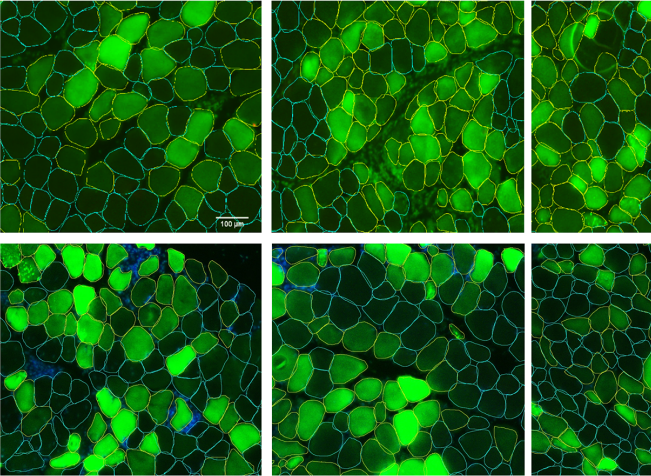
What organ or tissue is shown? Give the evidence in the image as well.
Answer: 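Closely packed polygonal profiles in cross section. Profiles of varied size separated by thin spaces. That points to this answer: Fibres.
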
